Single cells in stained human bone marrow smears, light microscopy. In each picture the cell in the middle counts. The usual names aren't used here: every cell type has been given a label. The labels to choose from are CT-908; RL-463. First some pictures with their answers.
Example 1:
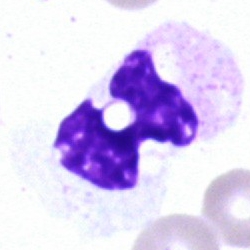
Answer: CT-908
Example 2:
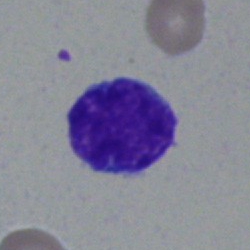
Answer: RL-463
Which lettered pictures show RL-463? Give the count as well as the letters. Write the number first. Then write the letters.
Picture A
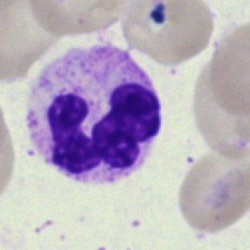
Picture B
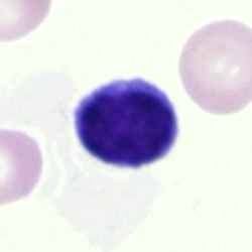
Count: 1 (B)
